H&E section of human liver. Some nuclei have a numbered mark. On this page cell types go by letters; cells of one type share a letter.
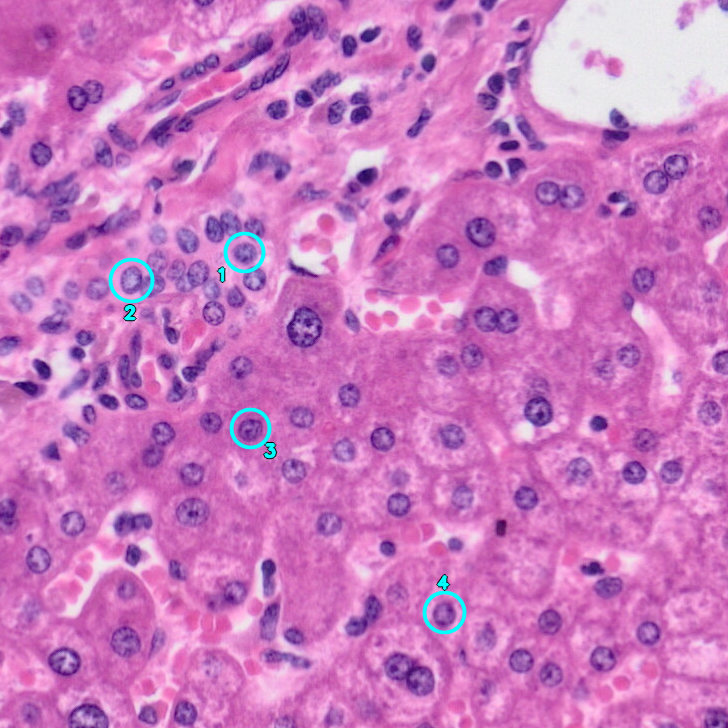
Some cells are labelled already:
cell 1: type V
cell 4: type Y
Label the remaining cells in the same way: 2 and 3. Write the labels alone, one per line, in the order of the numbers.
type V
type Y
